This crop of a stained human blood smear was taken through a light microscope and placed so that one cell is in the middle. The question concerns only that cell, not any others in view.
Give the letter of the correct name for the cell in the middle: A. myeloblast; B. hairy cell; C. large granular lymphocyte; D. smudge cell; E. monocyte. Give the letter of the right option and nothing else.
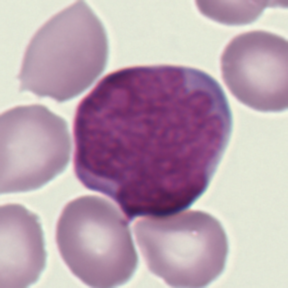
A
